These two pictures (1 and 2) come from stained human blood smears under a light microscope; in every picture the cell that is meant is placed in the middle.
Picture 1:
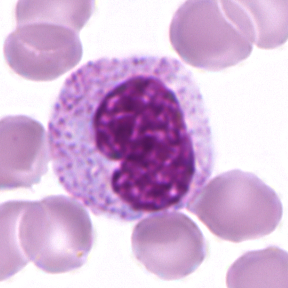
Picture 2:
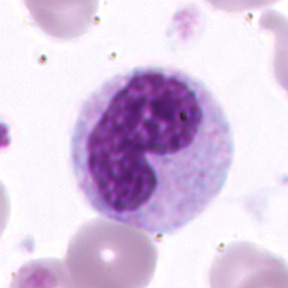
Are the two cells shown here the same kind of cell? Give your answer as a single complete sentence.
Yes, both are band neutrophils.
